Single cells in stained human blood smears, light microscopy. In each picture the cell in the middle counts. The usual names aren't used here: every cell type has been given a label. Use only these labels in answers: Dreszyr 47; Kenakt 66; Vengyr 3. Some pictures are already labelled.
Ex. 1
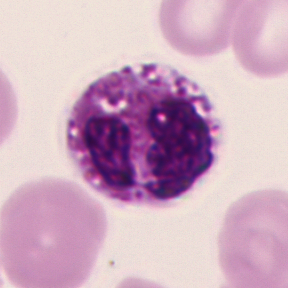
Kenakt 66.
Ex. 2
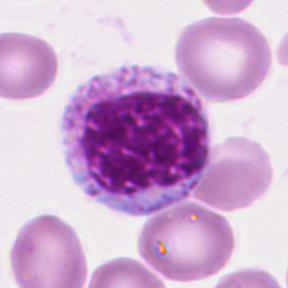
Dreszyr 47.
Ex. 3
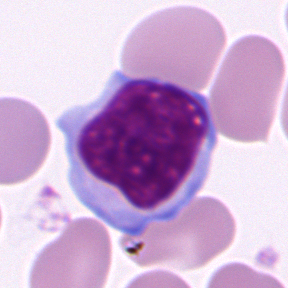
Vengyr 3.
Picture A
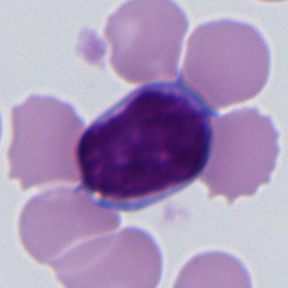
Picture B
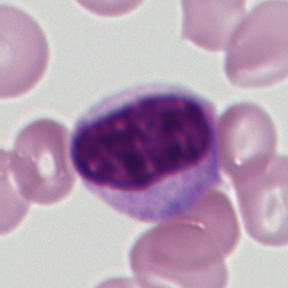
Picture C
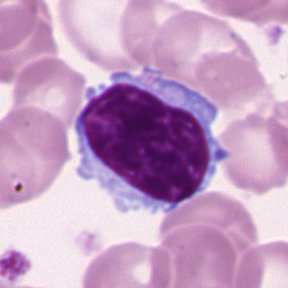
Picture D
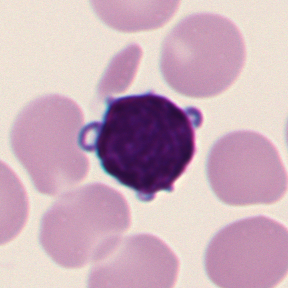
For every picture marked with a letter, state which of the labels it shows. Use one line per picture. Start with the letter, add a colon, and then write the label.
A: Vengyr 3.
B: Dreszyr 47.
C: Vengyr 3.
D: Vengyr 3.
